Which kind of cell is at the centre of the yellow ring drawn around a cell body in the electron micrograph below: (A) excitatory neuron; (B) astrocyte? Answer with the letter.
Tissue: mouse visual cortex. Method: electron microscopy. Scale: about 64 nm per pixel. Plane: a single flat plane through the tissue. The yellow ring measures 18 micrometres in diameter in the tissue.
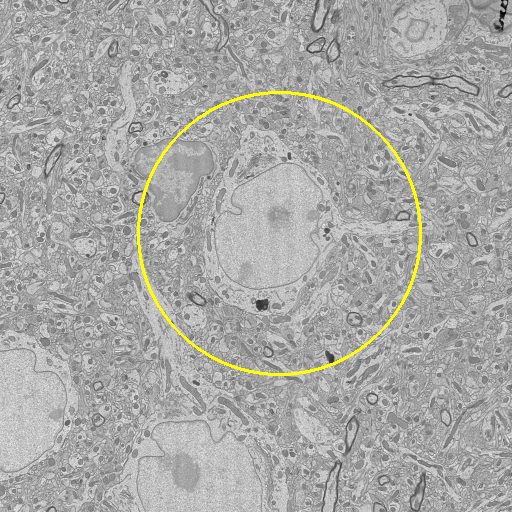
A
